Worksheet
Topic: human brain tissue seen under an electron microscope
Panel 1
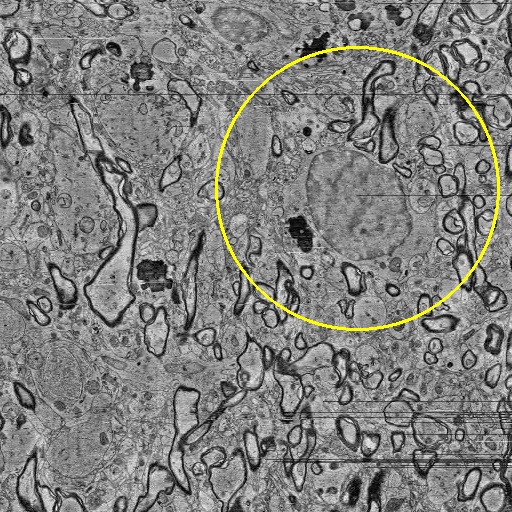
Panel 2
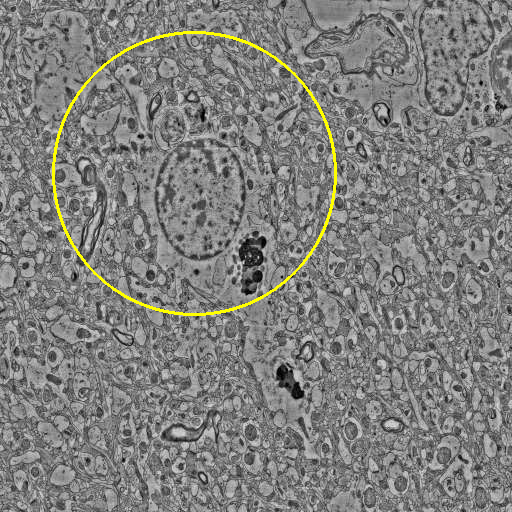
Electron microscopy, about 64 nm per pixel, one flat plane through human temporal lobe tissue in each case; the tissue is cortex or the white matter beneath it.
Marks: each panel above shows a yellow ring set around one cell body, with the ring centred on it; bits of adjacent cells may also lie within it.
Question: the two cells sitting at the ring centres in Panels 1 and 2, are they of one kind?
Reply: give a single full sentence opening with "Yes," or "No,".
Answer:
No, the two ring-centre cells in Panel 1 and Panel 2 are of two kinds.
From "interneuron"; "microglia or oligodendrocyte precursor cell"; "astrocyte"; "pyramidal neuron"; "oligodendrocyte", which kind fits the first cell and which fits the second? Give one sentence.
The cell marked in the first picture is an oligodendrocyte, and the one marked in the second is an astrocyte.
